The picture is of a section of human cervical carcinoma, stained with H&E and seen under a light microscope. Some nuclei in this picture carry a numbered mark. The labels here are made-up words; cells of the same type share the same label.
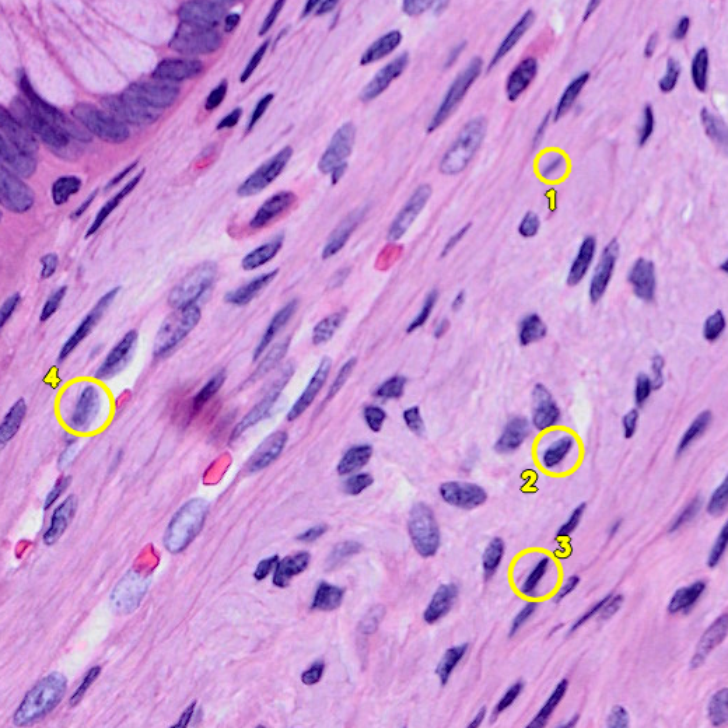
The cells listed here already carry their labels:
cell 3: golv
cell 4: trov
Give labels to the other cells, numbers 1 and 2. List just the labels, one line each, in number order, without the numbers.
golv
golv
